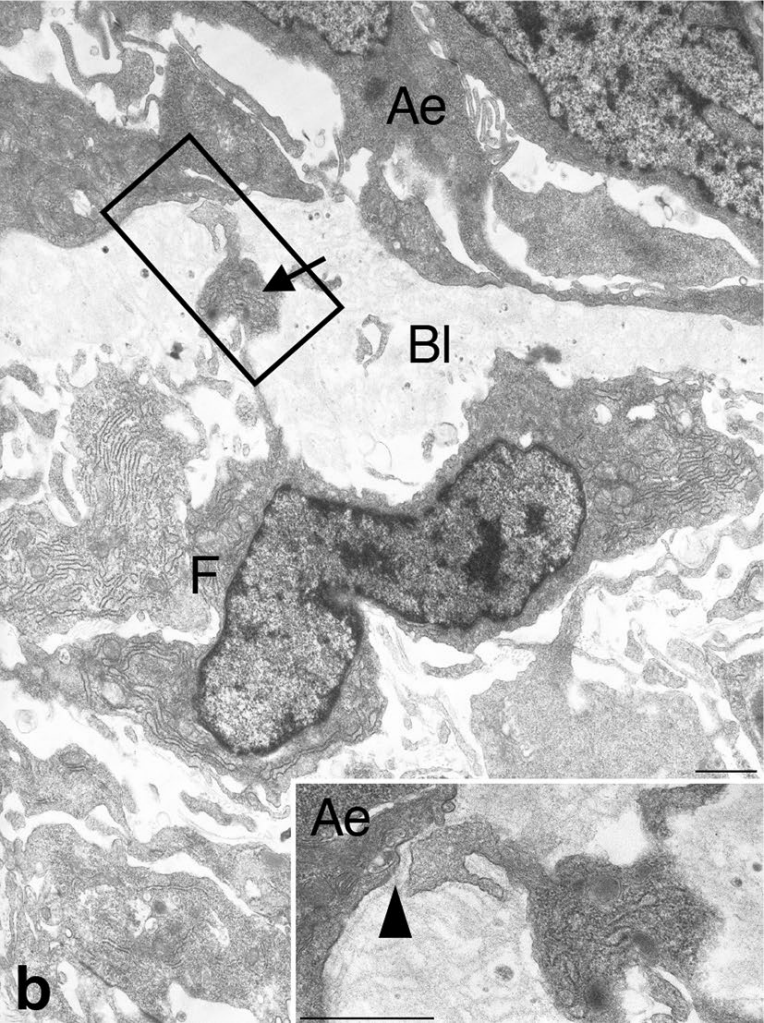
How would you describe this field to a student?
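The fibroblast has a bilobed, elongated nucleus with peripheral dense chromatin, and its cytoplasm contains abundant stacked rough endoplasmic reticulum. A cytoplasmic process crosses the pale band and is locally swollen into a dense profile near the epithelium. At higher magnification in the inset, this process reaches the base of an epithelial cell and touches it through a gap in the basal lamina. The epithelial cells above have dense cytoplasm and a large nucleus with dispersed chromatin.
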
